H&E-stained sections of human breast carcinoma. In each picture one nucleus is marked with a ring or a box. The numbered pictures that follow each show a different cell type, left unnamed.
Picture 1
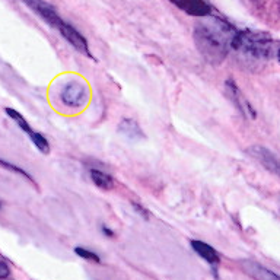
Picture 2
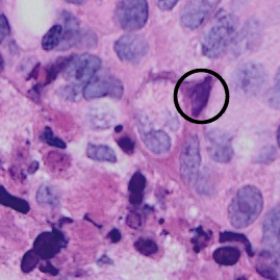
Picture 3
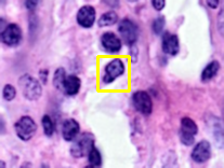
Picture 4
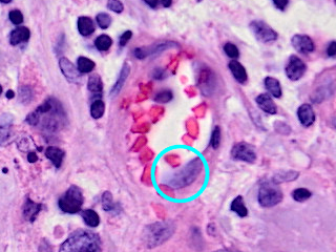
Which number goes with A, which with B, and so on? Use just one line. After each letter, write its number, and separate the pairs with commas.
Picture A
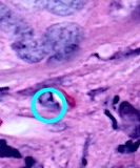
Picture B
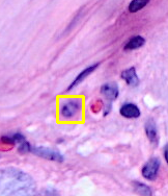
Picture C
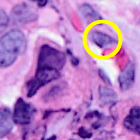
A 4, B 1, C 4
